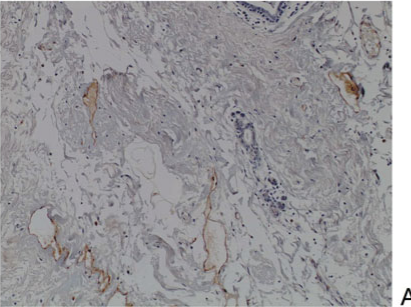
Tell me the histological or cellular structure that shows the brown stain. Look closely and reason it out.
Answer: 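Brown stain lines thin-walled, elongated or open channels in loose stroma. The stained walls outline empty lumens. So: blood or lymph vessels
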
